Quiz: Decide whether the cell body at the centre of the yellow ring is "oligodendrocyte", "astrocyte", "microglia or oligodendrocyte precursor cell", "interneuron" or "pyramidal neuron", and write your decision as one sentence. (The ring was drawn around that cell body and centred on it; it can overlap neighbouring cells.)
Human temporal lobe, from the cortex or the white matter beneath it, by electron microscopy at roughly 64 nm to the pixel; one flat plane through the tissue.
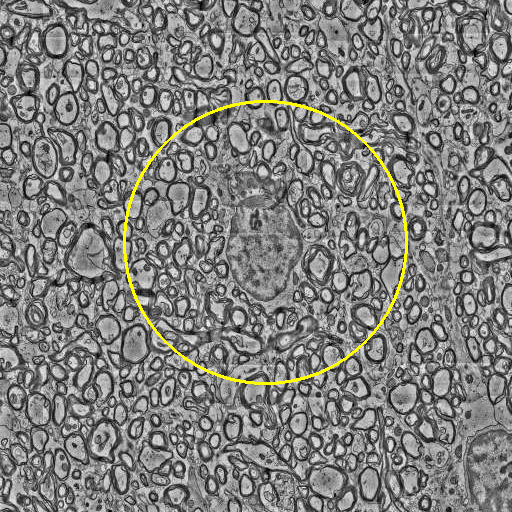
The cell the ring is centred on is an oligodendrocyte.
